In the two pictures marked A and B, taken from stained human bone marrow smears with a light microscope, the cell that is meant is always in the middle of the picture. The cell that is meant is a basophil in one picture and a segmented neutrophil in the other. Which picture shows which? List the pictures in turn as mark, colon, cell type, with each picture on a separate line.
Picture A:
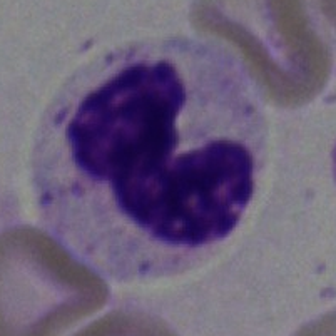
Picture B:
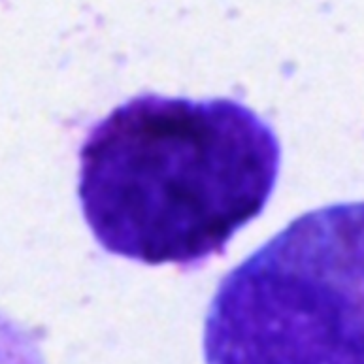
A: segmented neutrophil
B: basophil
